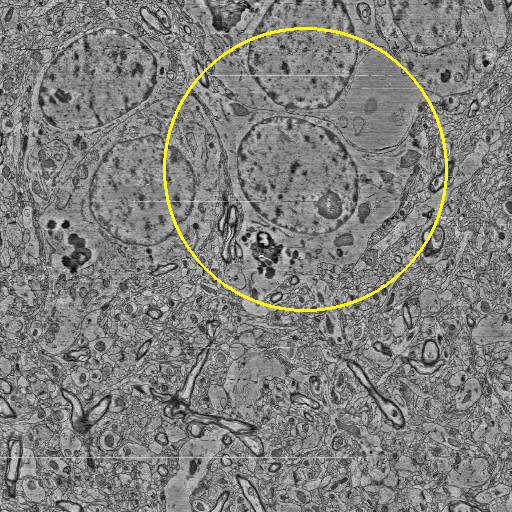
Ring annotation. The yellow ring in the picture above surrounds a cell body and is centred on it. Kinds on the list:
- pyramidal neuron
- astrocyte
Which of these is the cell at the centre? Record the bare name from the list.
astrocyte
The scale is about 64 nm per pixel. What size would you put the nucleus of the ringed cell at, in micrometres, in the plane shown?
In this plane, about 9 micrometres in length and 7 in width.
